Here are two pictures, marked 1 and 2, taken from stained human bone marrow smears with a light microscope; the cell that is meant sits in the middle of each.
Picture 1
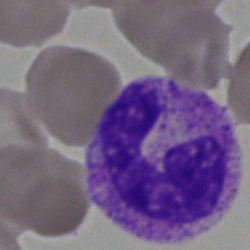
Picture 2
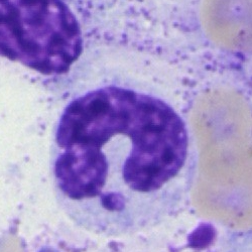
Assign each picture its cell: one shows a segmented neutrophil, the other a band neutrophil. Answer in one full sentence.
In picture 1 the cell is a segmented neutrophil; in picture 2, a band neutrophil.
